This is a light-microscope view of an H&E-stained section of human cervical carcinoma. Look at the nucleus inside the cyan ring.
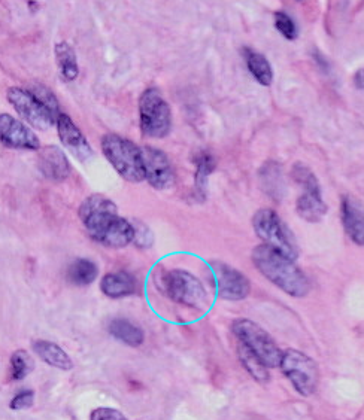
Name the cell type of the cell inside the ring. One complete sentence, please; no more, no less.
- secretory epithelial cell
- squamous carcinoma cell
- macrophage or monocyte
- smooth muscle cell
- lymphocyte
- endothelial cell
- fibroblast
Speaking plainly, the cell inside the ring is nothing other than an endothelial cell.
